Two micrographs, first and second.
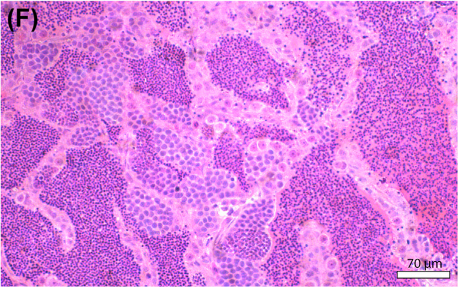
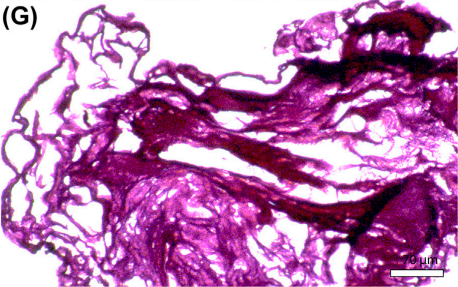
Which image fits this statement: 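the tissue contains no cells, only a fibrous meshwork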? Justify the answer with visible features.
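First image: compartments densely packed with cells with purple nuclei. Second image: no nuclei, only dark purple fibrous strands and empty spaces.
Conclusion: the second image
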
